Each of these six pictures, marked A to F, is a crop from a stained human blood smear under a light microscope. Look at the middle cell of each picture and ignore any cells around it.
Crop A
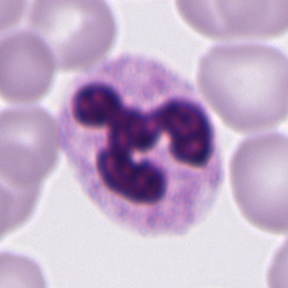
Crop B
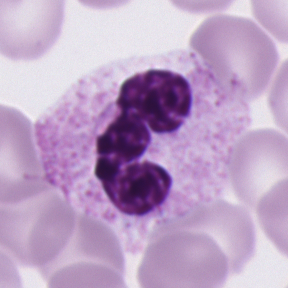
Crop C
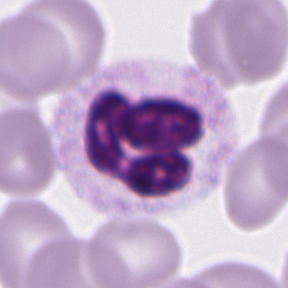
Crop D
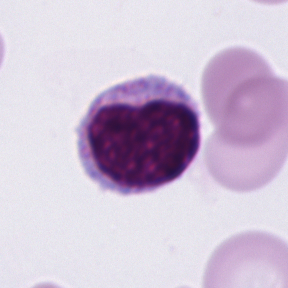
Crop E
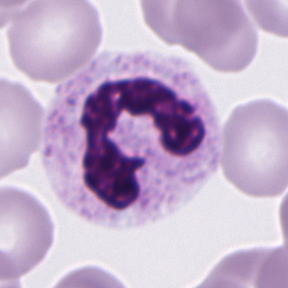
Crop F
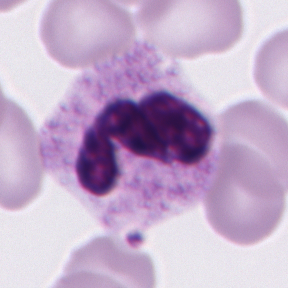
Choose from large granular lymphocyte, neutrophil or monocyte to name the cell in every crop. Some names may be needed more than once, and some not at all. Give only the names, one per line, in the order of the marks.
neutrophil
neutrophil
neutrophil
large granular lymphocyte
neutrophil
neutrophil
